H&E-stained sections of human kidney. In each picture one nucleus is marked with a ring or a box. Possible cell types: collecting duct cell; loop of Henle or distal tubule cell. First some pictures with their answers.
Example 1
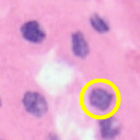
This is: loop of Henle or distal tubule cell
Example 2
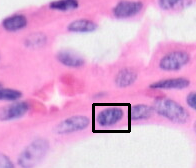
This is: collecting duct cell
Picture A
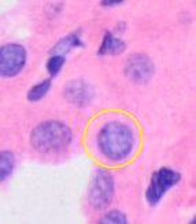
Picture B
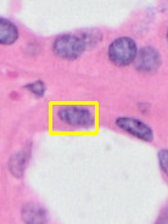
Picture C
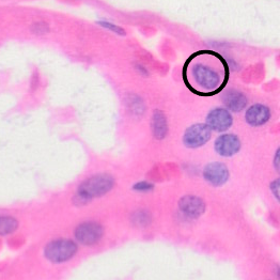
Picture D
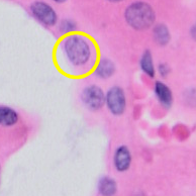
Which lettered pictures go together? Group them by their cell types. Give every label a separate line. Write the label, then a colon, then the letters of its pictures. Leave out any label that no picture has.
collecting duct cell: C, D
loop of Henle or distal tubule cell: A, B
